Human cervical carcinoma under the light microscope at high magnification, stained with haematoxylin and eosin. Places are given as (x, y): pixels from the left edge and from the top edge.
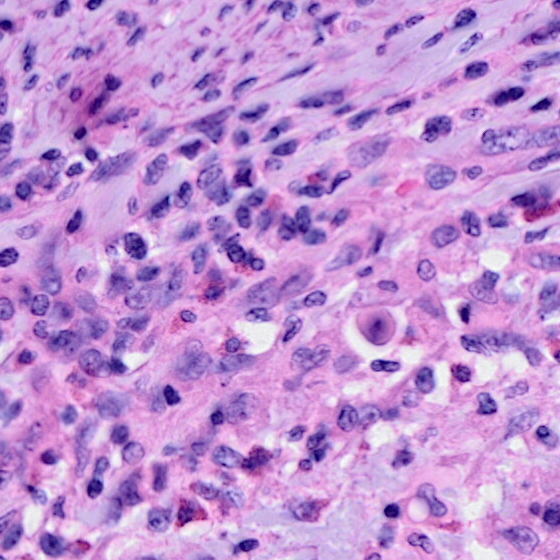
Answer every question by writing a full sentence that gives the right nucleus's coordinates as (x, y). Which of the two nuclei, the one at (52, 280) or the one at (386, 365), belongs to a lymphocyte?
The nucleus found at (386, 365) belongs to a lymphocyte.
